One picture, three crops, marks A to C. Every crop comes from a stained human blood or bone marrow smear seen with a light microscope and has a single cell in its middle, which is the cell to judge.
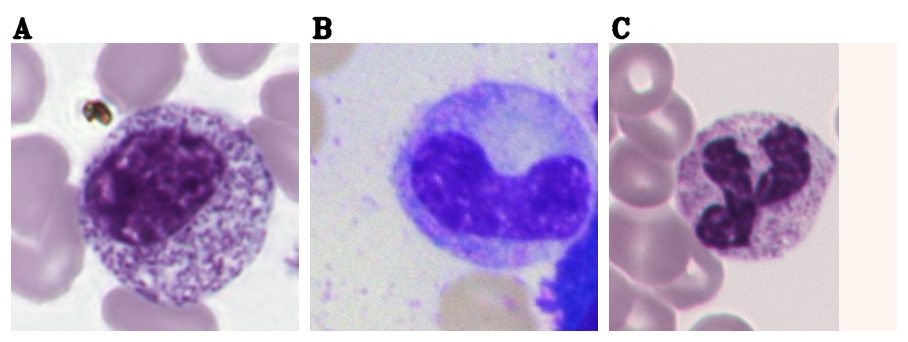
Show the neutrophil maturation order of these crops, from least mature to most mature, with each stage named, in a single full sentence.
By stage of maturation, from earliest to latest, the order is crop A (a myelocyte), crop B (a band neutrophil) and crop C (a segmented neutrophil).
